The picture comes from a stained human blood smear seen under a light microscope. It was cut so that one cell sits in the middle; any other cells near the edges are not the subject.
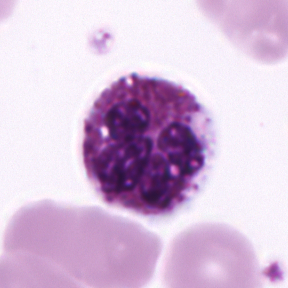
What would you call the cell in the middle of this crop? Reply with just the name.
eosinophil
